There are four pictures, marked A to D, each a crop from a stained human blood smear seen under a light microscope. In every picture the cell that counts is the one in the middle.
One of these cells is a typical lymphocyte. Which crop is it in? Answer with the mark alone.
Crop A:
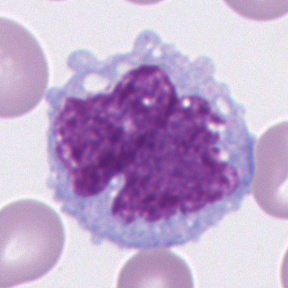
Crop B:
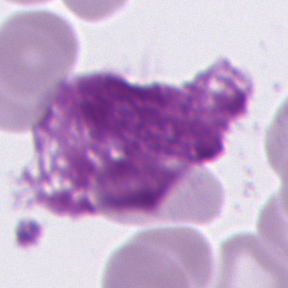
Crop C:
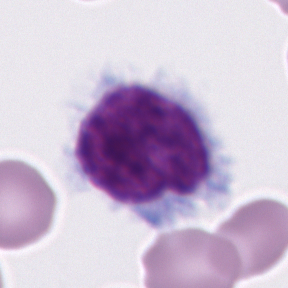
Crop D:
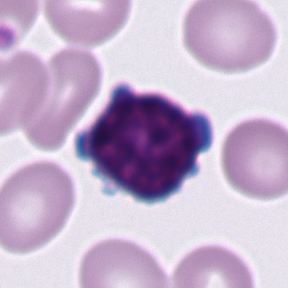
D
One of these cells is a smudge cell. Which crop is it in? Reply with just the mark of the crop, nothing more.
B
